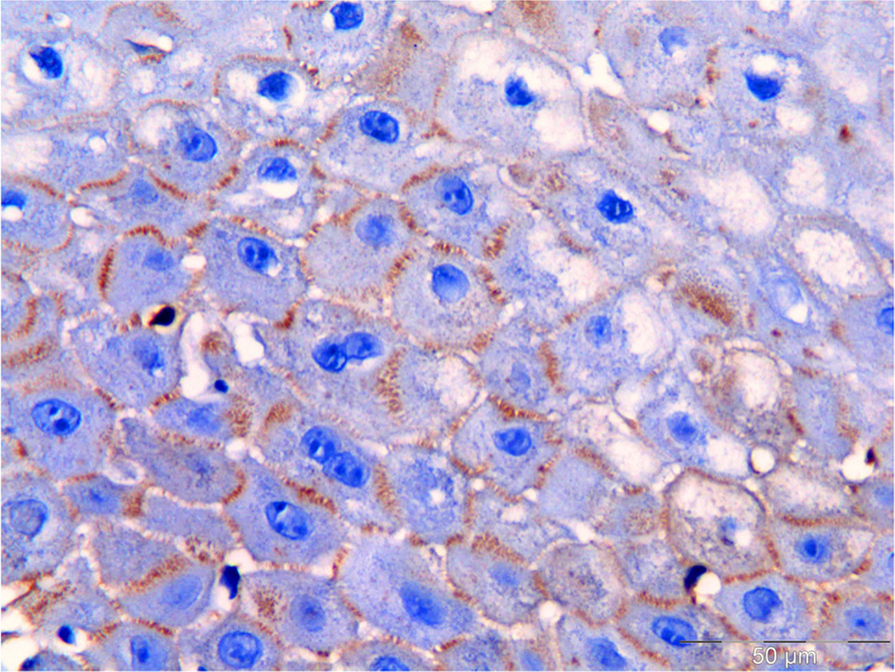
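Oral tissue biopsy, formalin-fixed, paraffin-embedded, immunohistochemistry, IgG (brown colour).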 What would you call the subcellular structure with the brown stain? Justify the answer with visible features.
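Intercellular junction. Brown granular stain lines the borders between adjacent cells. Nuclei are blue and free of brown stain.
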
